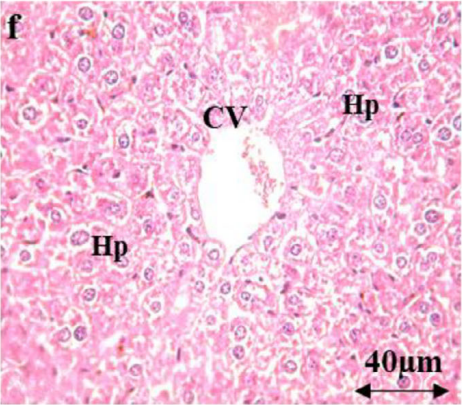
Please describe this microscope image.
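This is liver with hepatocytes arranged in cords radiating from a central vein. The hepatocytes are large polygonal cells with pink cytoplasm and round, centrally placed nuclei, some with visible nucleoli. Narrow sinusoidal spaces run between the cords, and the vein lumen holds a few blood cells.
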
